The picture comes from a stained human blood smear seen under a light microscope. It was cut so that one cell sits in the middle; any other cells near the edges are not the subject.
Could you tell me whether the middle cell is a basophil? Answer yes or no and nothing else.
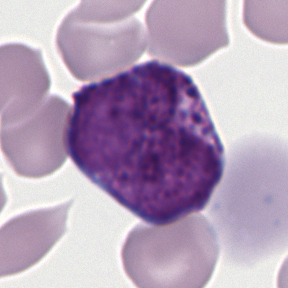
yes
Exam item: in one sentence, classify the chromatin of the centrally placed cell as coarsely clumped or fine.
The chromatin shows a fine pattern without coarse clumps.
